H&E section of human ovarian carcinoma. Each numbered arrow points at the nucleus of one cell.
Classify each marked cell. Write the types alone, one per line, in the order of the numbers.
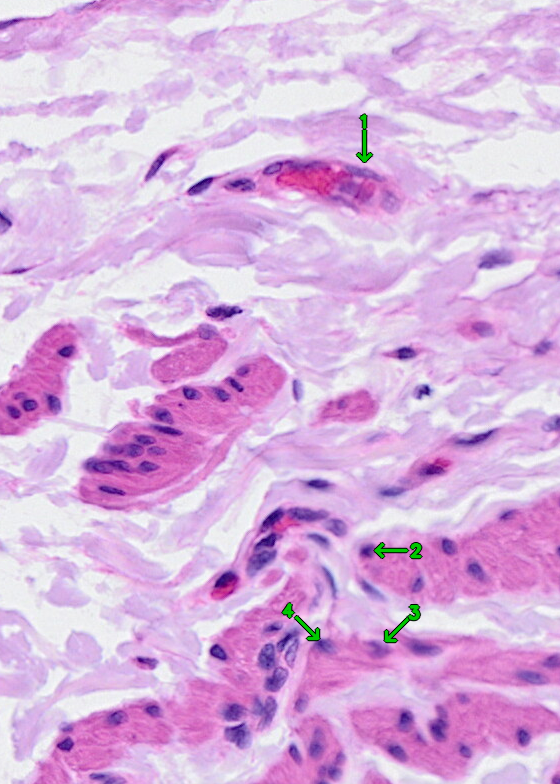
endothelial cell
smooth muscle cell
smooth muscle cell
smooth muscle cell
